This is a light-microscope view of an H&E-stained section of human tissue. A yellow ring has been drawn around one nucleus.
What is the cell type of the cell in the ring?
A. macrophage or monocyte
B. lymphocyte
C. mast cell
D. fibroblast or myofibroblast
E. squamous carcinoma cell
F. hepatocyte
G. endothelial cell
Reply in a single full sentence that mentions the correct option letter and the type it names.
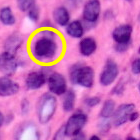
In this section the cell in the ring is a lymphocyte; option B is therefore correct.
